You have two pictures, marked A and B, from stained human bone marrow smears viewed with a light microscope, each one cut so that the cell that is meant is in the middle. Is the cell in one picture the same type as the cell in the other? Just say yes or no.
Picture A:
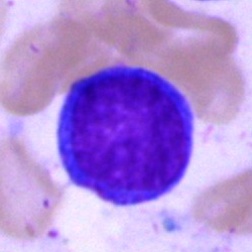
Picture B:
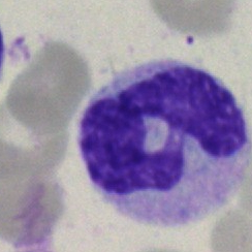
no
